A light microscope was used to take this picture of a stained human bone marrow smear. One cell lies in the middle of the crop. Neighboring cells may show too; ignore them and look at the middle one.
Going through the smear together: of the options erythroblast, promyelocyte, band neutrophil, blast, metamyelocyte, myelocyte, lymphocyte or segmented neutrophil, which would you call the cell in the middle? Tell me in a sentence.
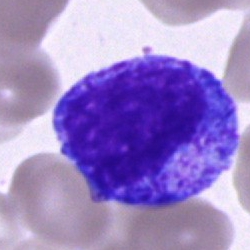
What sits at the centre of this crop is a promyelocyte.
